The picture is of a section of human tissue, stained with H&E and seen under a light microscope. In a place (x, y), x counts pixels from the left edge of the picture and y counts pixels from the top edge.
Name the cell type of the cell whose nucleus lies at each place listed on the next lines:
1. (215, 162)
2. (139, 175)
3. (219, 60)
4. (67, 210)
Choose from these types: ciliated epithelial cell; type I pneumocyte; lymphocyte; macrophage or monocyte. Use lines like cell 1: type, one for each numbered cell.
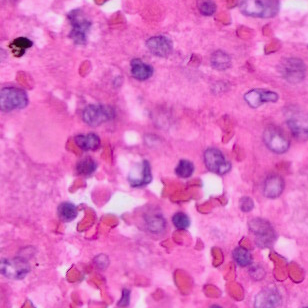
cell 1: macrophage or monocyte
cell 2: macrophage or monocyte
cell 3: macrophage or monocyte
cell 4: lymphocyte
